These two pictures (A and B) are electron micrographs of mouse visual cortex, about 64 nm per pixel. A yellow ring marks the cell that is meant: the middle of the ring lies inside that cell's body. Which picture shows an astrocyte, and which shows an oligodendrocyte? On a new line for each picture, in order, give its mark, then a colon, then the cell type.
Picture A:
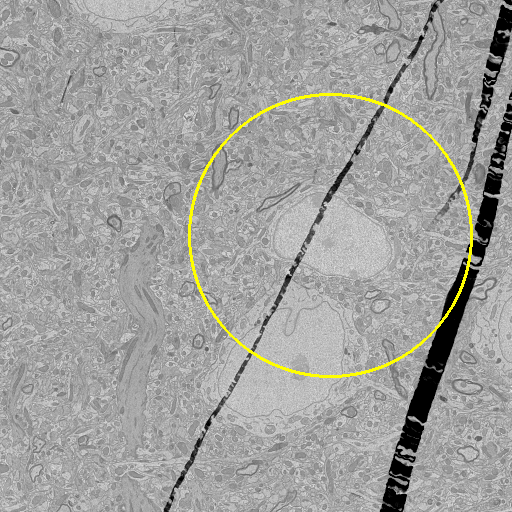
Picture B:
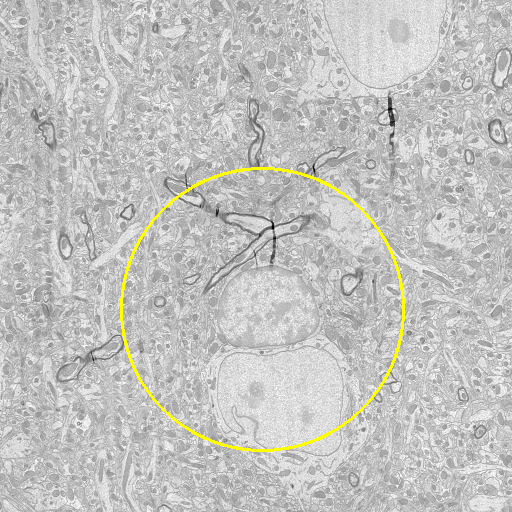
A: astrocyte
B: oligodendrocyte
